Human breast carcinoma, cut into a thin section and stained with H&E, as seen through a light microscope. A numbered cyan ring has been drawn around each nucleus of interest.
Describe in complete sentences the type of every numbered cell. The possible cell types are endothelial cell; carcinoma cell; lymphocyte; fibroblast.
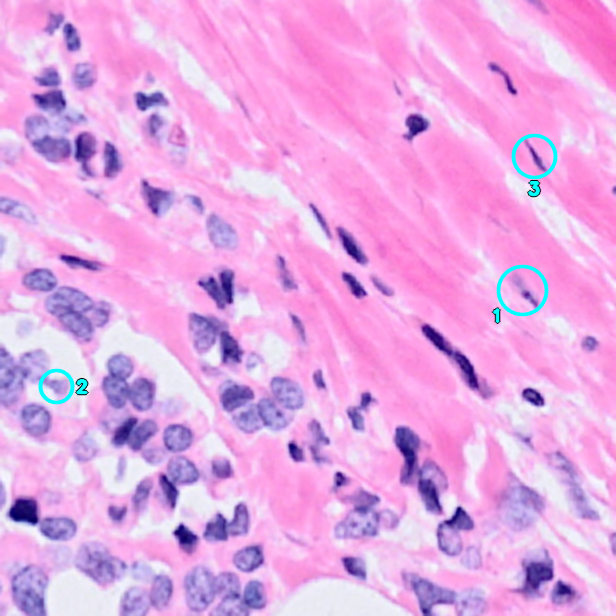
Cell 1 is a fibroblast, cell 2 is a carcinoma cell and cell 3 is a fibroblast.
